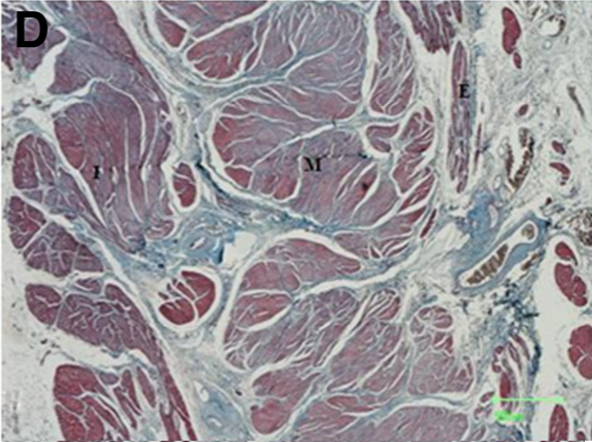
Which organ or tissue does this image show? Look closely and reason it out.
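Thick tissue of large red-stained muscle bundles. Bundles separated by blue-stained connective tissue septa.
Answer: muscular tunic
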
